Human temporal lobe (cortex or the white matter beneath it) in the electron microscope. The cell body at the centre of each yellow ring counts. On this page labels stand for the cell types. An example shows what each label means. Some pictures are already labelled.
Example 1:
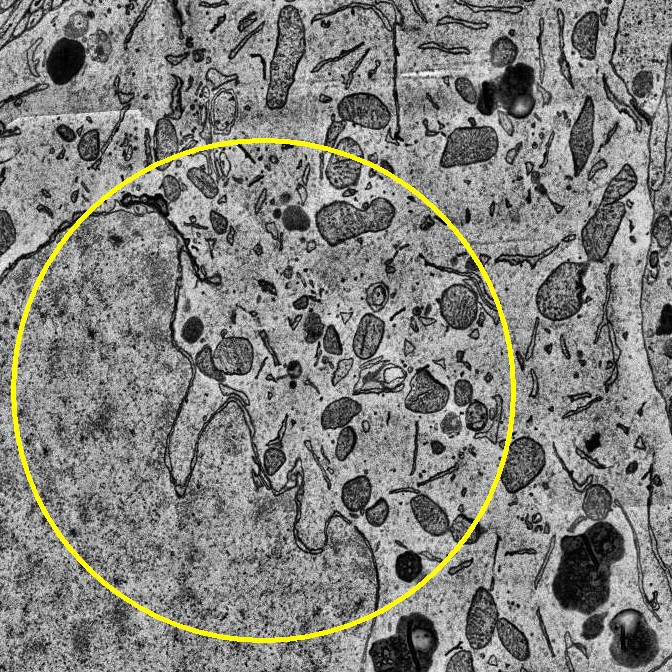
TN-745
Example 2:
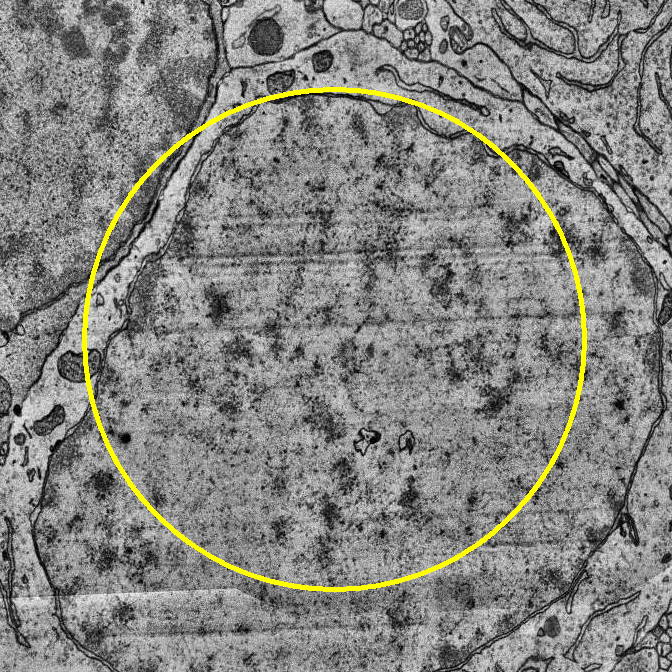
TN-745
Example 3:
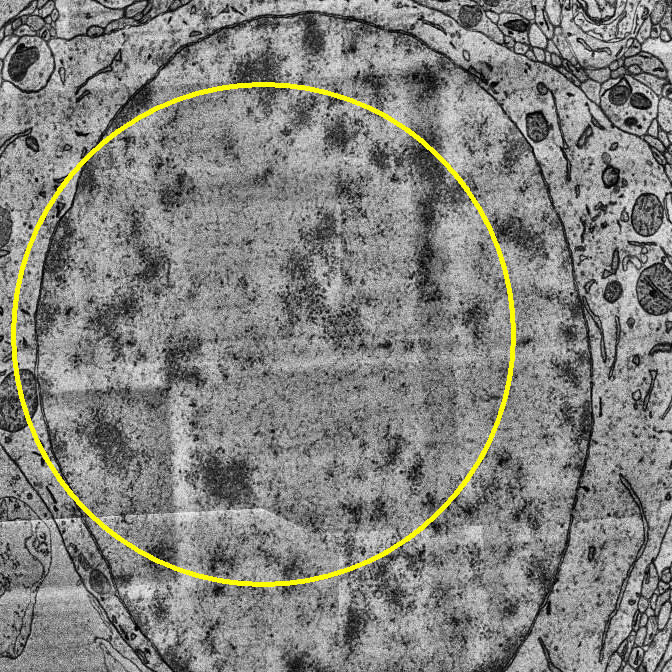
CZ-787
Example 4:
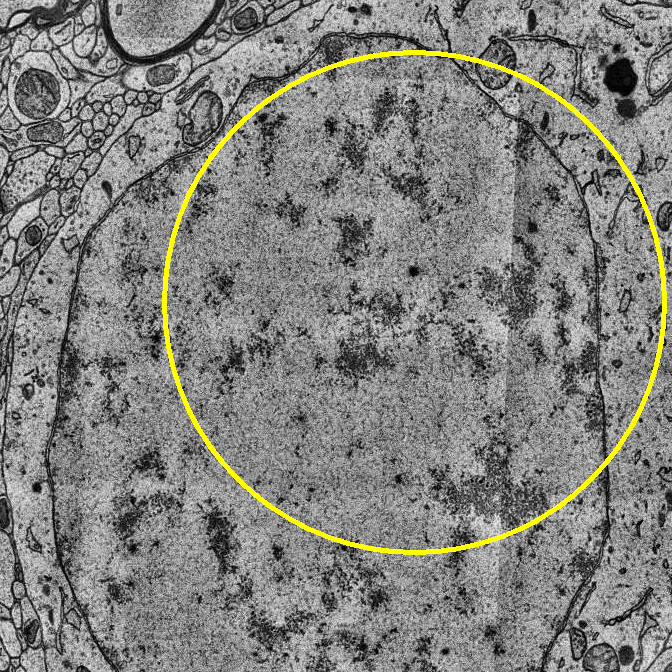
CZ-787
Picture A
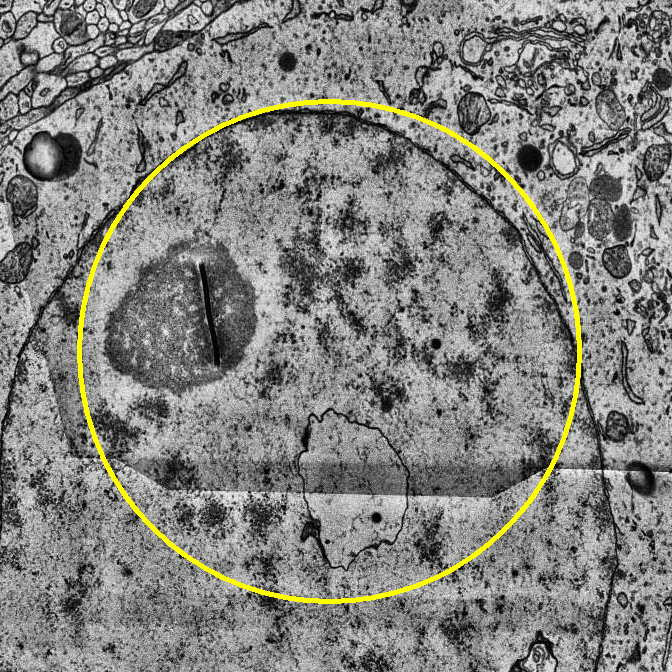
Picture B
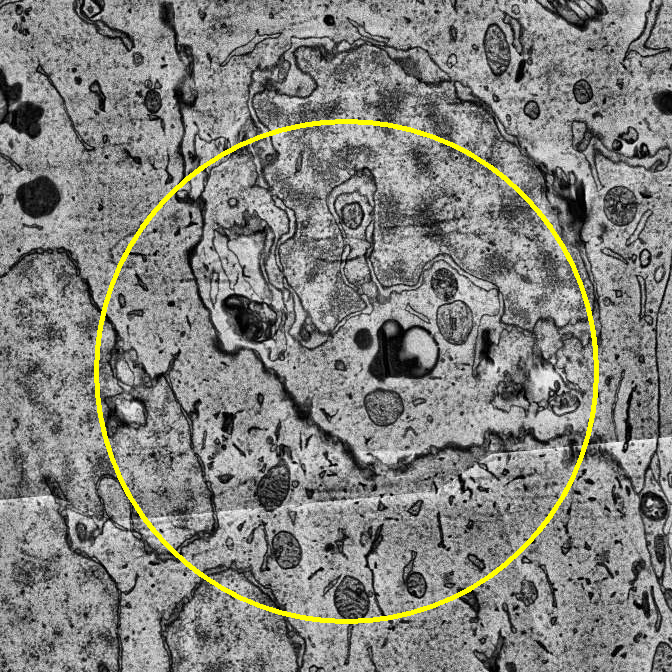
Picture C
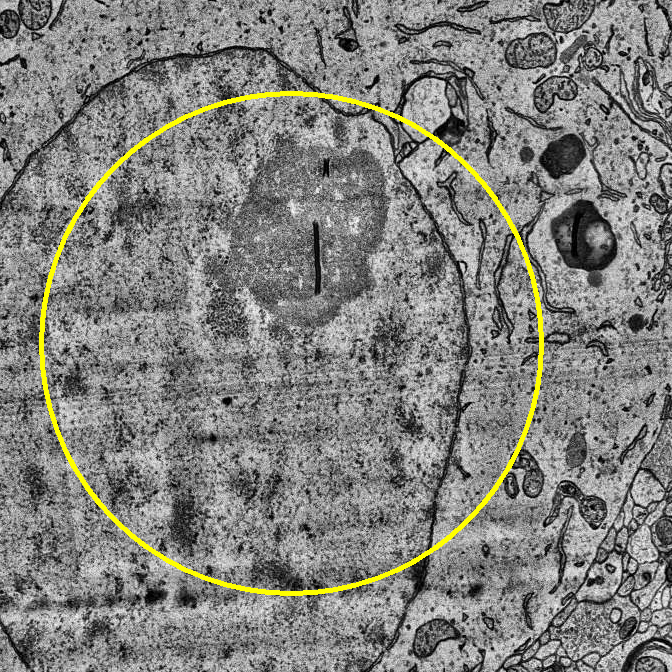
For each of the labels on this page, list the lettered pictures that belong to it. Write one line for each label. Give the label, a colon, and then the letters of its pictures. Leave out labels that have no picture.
TN-745: B
CZ-787: A, C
